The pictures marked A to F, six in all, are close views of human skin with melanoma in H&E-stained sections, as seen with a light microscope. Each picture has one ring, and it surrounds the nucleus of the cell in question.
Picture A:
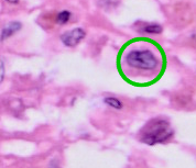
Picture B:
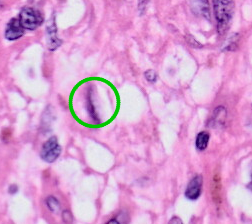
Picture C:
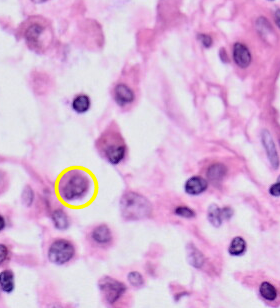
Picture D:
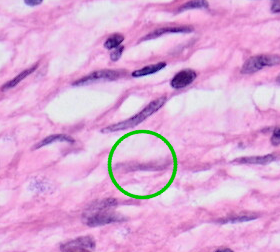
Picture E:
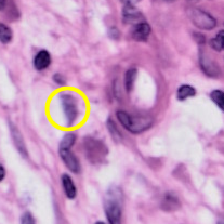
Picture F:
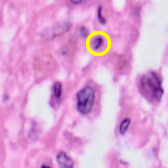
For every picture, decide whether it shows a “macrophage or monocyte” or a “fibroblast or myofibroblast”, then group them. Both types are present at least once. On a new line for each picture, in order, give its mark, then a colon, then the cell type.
A: macrophage or monocyte
B: fibroblast or myofibroblast
C: macrophage or monocyte
D: fibroblast or myofibroblast
E: fibroblast or myofibroblast
F: macrophage or monocyte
